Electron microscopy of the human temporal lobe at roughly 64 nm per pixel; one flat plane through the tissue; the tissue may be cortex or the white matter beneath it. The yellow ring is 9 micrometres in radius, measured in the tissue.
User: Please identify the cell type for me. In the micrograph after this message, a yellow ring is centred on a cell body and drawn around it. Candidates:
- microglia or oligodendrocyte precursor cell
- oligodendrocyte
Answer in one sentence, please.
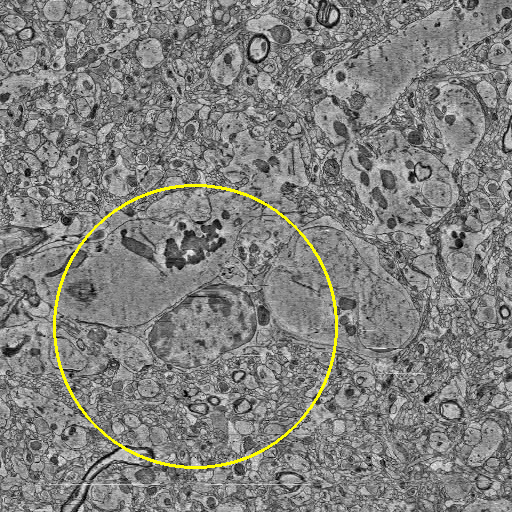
The ring is drawn around the cell body of a microglial cell or oligodendrocyte precursor cell.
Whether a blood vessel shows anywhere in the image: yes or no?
Yes, one shows.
